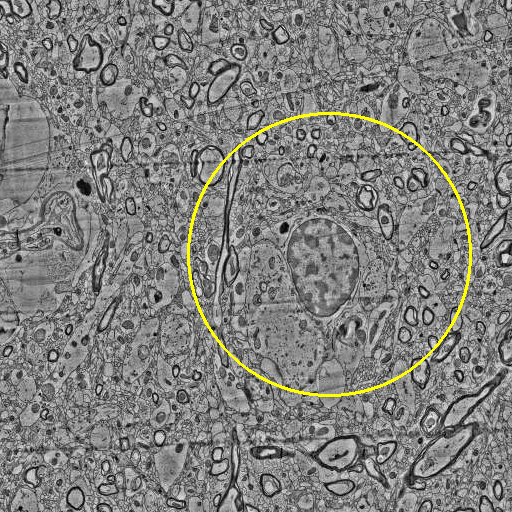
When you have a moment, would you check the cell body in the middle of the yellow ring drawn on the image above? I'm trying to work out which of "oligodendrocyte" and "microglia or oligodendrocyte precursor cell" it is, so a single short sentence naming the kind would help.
This cell body belongs to a microglial cell or oligodendrocyte precursor cell.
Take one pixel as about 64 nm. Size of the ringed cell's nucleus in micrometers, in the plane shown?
In this plane, roughly 6 by 4 micrometres.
